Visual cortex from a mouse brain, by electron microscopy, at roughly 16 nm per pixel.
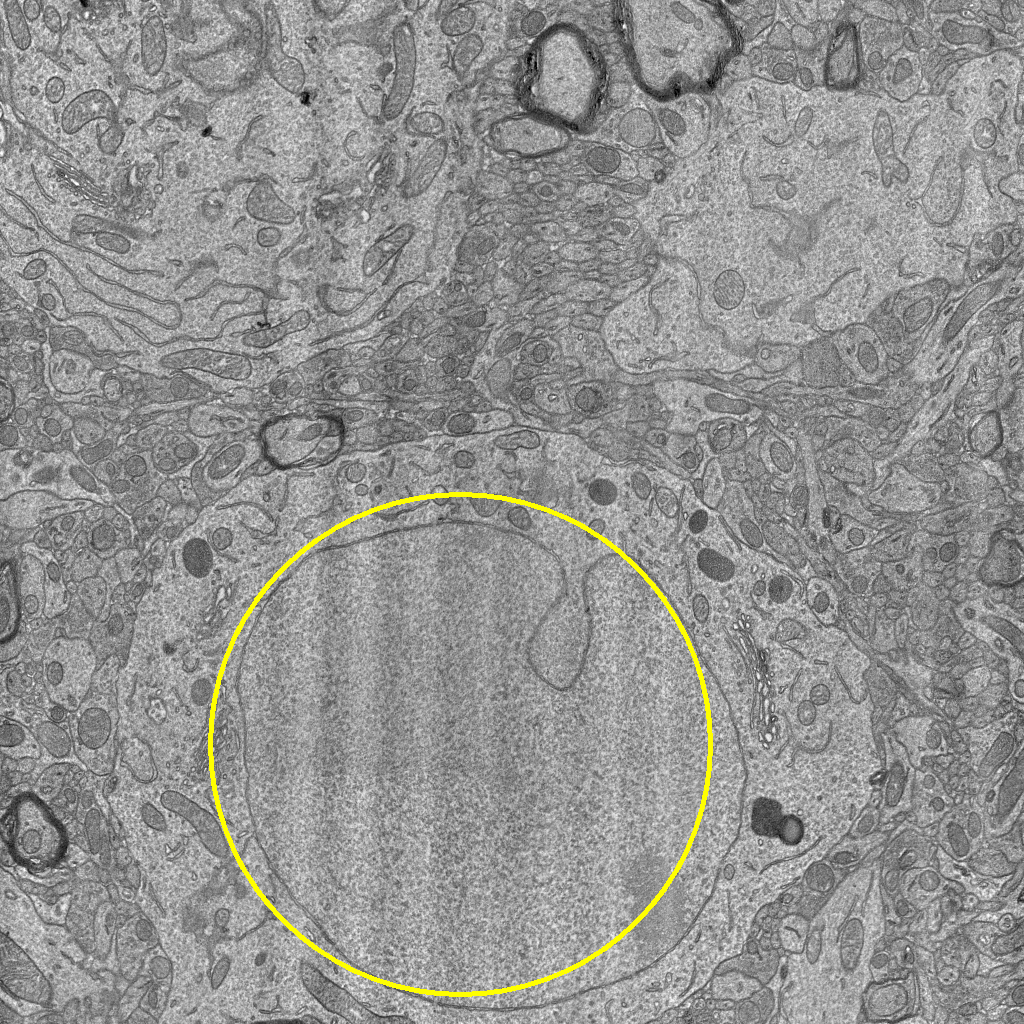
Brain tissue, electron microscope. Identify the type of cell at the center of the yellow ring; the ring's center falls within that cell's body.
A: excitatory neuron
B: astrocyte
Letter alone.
A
